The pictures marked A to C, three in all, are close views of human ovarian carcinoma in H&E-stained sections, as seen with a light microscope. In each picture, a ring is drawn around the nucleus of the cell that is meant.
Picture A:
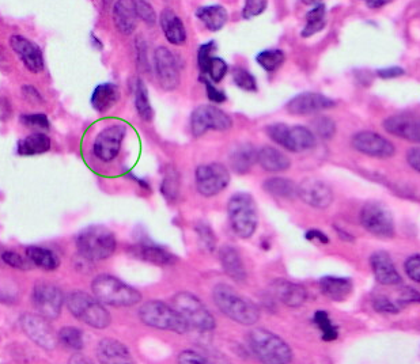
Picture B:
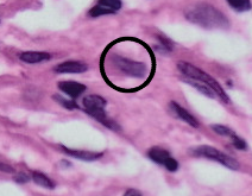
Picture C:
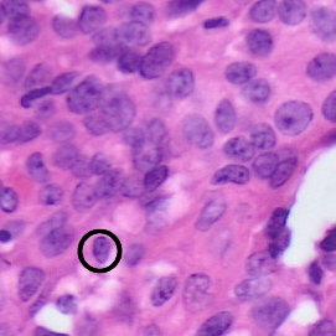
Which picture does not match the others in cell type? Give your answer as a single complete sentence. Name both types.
All pictures except B show “macrophages or monocytes”; picture B shows a fibroblast.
